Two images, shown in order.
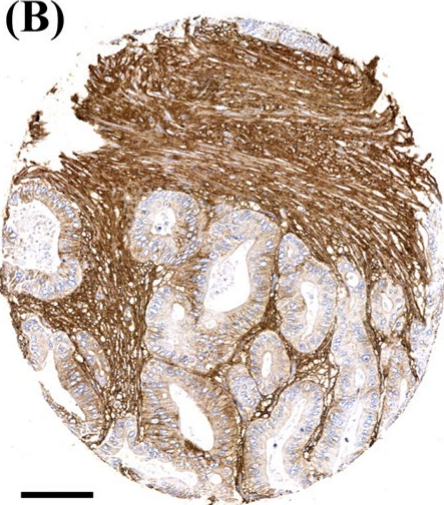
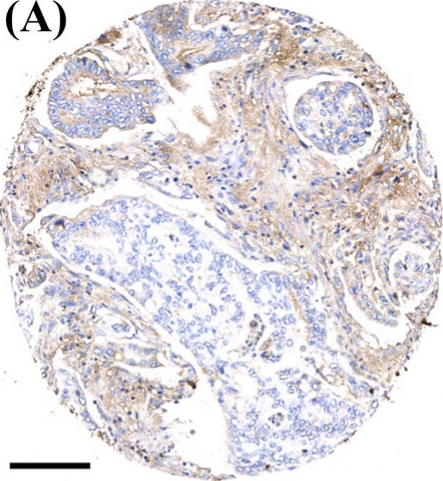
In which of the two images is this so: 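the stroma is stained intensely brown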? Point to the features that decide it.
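The first image. First image: the fibrous tissue between and above the glands is dark brown. Second image: the tissue between the epithelial nests is only pale tan.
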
